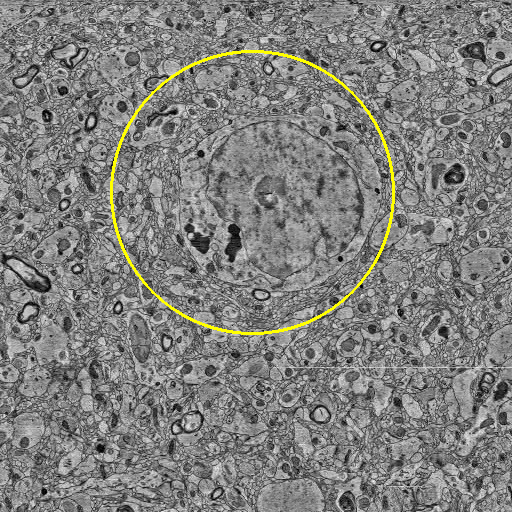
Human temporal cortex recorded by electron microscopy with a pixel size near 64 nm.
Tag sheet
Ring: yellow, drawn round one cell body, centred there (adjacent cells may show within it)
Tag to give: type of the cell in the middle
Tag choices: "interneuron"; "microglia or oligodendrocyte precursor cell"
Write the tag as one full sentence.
I tag the cell centred in the yellow ring as an interneuron in this picture.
